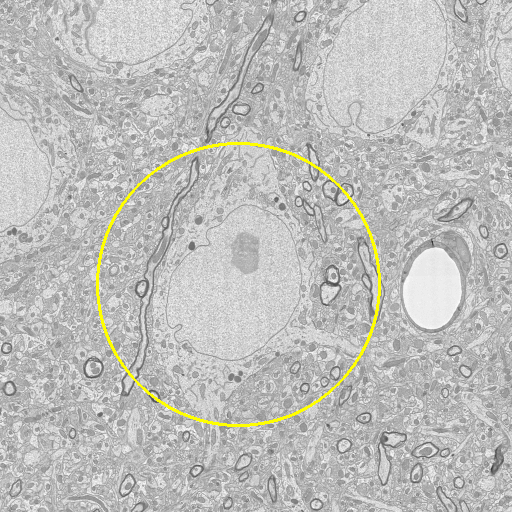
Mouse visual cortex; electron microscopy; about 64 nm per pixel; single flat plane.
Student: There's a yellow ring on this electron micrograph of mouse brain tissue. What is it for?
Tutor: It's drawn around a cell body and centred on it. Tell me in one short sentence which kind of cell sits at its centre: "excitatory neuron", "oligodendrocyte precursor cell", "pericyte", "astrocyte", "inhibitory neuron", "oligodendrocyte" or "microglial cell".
The cell at the centre of the ring is an excitatory neuron.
